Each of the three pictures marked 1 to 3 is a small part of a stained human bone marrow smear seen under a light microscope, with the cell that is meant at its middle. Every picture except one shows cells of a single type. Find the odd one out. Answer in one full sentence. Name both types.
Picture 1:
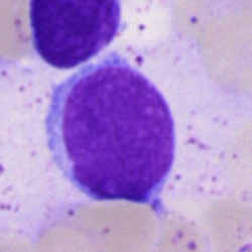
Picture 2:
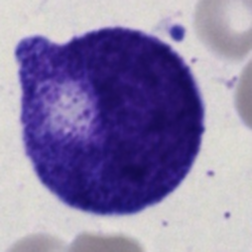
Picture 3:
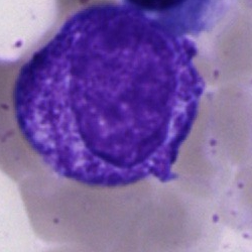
Unlike the rest, which show promyelocytes, picture 1 shows a blast.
